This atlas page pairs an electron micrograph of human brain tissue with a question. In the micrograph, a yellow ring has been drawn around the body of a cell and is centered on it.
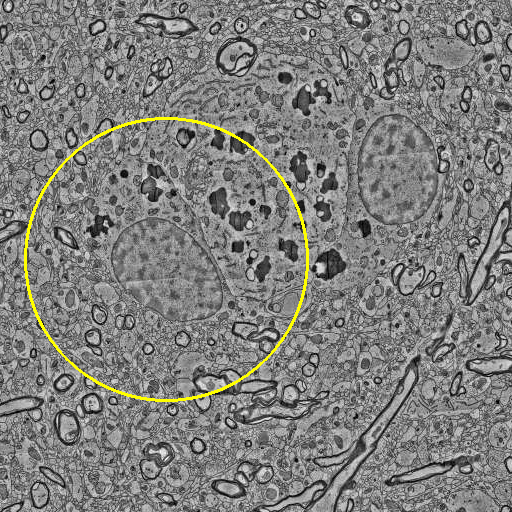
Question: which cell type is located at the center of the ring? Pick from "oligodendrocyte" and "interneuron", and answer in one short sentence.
Located at the center of the ring is an oligodendrocyte.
